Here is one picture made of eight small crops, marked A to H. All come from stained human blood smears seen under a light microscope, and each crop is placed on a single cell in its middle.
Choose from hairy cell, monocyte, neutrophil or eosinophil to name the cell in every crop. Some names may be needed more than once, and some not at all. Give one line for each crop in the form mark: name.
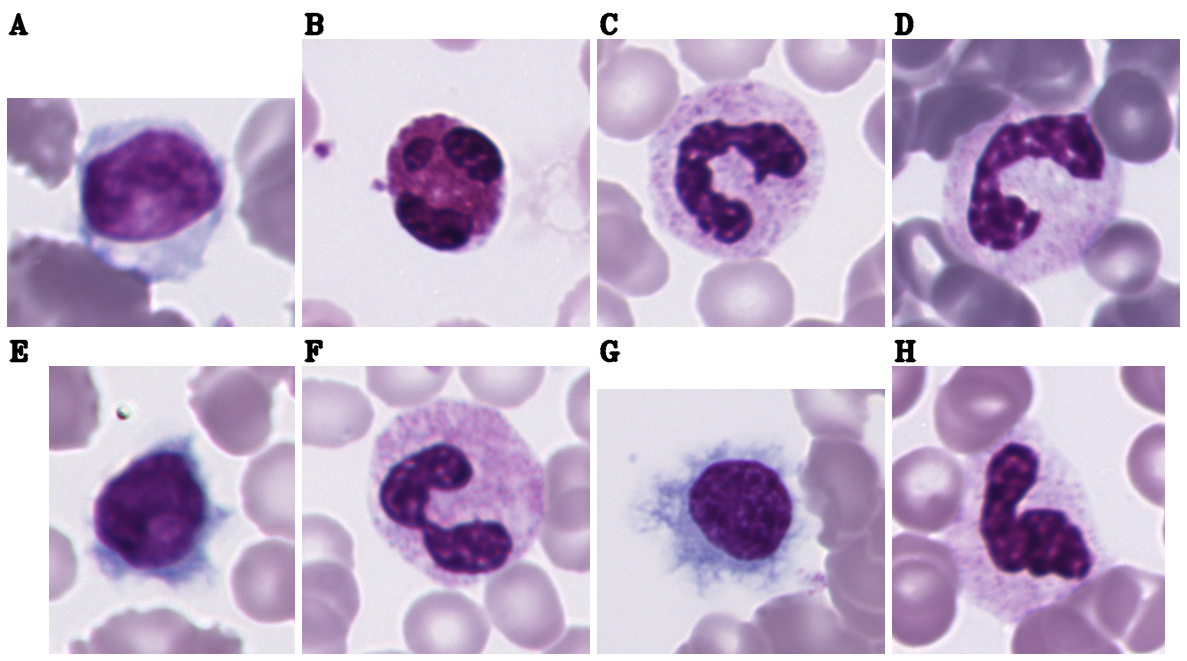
A: hairy cell
B: eosinophil
C: neutrophil
D: neutrophil
E: hairy cell
F: neutrophil
G: hairy cell
H: neutrophil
